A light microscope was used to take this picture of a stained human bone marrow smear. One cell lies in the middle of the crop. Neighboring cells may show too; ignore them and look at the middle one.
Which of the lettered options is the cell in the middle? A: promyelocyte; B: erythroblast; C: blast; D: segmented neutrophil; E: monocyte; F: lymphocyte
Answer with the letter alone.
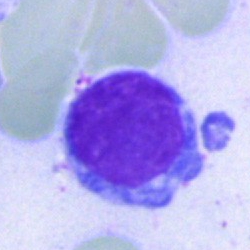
F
